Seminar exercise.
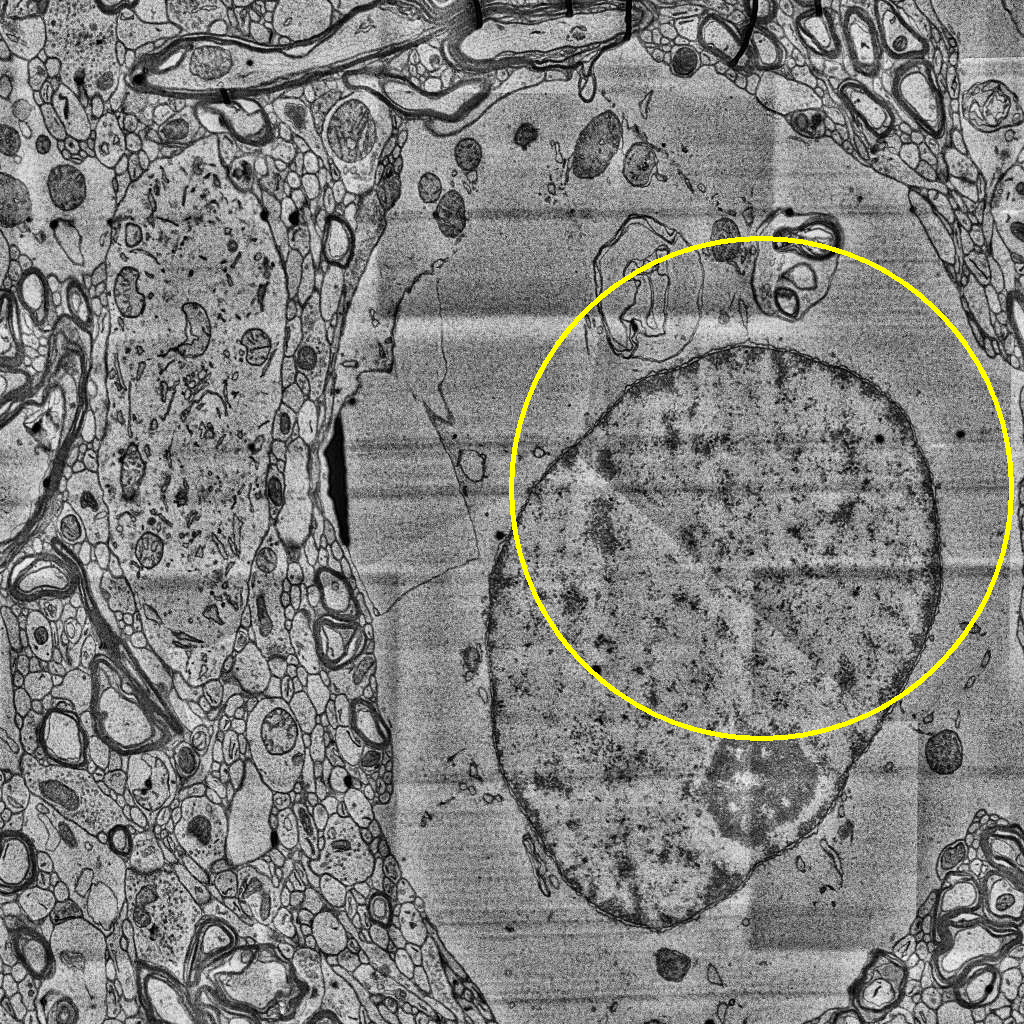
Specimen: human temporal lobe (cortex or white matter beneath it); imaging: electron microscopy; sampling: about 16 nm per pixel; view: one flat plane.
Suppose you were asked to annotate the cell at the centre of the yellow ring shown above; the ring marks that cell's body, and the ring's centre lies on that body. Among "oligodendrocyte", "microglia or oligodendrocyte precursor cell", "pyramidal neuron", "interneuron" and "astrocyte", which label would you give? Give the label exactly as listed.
astrocyte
